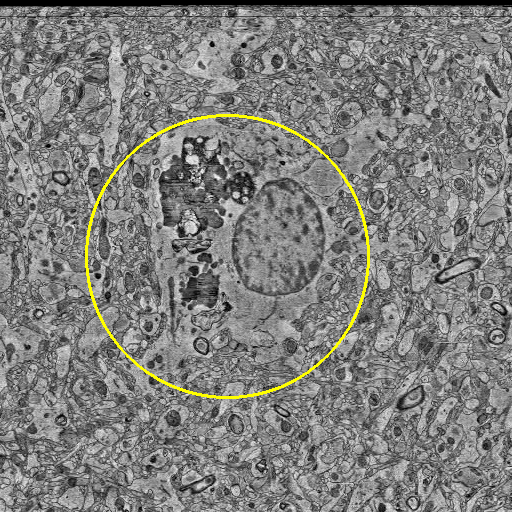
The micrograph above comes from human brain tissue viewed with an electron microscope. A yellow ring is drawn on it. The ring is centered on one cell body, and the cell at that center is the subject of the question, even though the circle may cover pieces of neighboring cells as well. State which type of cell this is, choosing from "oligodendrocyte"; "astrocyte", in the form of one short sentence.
The cell the ring is centered on is an astrocyte.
